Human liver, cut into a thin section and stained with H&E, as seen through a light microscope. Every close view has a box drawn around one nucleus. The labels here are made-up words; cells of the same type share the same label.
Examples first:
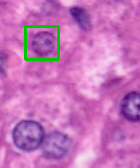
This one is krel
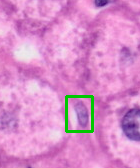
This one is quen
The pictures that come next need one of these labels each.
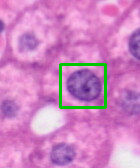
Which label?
krel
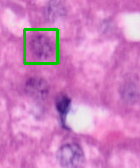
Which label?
krel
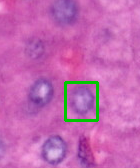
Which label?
krel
